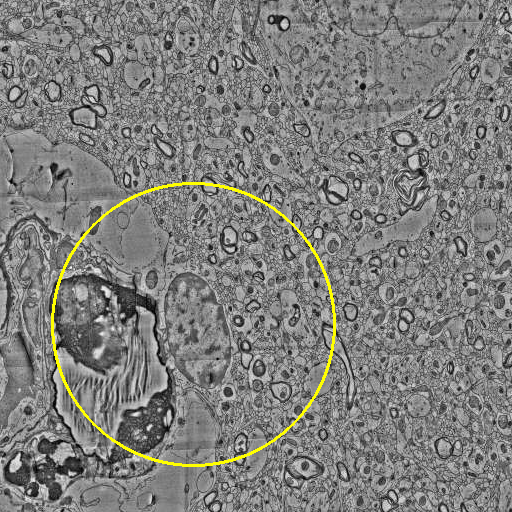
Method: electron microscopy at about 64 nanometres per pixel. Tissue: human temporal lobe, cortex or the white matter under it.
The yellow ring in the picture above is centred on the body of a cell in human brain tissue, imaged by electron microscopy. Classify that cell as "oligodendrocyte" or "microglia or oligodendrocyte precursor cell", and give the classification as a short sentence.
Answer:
The cell in the middle of the ring is a microglial cell or oligodendrocyte precursor cell.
